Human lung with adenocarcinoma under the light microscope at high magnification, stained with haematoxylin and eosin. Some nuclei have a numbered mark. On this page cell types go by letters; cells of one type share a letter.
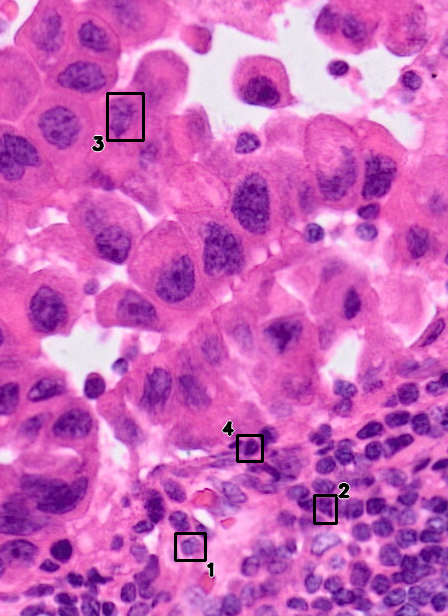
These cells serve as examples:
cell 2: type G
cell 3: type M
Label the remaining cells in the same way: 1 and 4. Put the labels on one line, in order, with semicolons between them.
type G; type G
